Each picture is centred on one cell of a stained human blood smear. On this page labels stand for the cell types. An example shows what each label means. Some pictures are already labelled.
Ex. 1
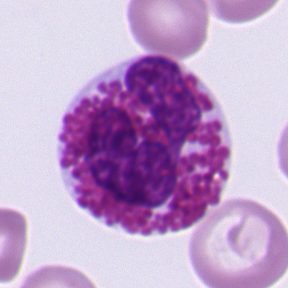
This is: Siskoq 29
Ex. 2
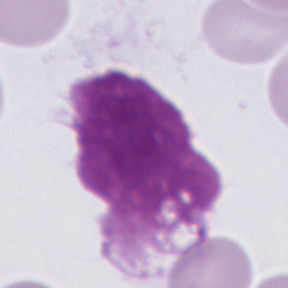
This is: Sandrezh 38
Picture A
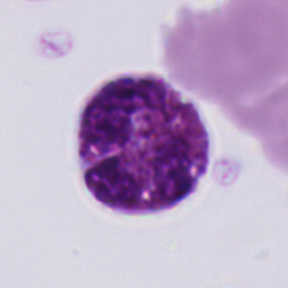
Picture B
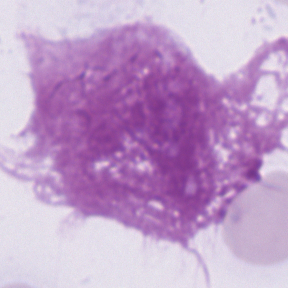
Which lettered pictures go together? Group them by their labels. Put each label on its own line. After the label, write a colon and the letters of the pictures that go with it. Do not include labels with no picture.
Siskoq 29: A
Sandrezh 38: B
